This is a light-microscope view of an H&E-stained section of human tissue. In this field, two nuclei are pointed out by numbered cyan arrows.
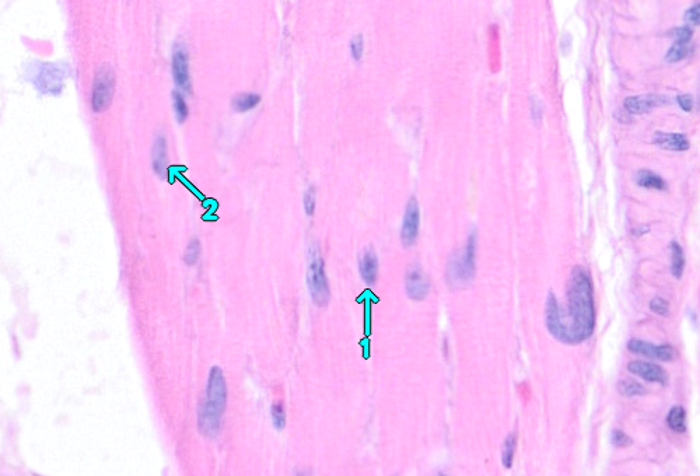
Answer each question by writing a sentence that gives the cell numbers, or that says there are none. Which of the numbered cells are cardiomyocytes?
Only the cell numbered 2 is a cardiomyocyte, and the others are something else.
